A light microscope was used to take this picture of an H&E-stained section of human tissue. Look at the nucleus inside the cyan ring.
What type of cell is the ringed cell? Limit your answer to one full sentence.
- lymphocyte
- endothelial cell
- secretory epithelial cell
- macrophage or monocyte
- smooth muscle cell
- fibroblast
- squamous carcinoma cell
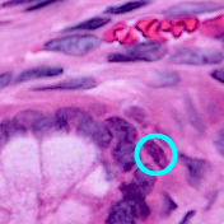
In terms of identity, the ringed cell is a secretory epithelial cell.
